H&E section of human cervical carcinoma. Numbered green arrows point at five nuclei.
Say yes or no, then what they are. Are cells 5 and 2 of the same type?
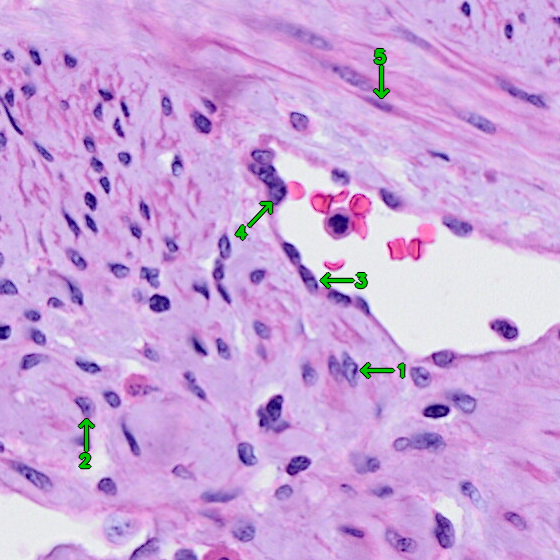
Yes, both are smooth muscle cells.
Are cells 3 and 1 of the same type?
No, cell 3 is an endothelial cell and cell 1 is a smooth muscle cell.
